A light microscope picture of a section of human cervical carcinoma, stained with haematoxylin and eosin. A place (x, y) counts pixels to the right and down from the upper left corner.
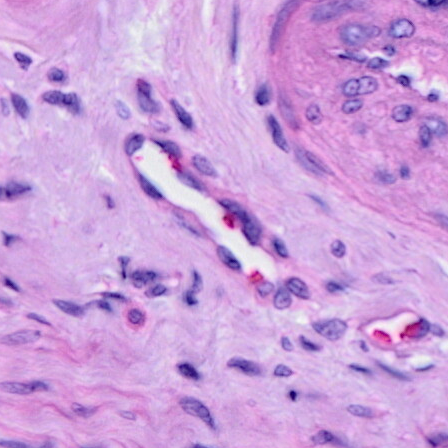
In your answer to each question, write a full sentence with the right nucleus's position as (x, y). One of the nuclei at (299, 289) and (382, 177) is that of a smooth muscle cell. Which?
Out of the two, it is the nucleus at (382, 177) that belongs to a smooth muscle cell.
